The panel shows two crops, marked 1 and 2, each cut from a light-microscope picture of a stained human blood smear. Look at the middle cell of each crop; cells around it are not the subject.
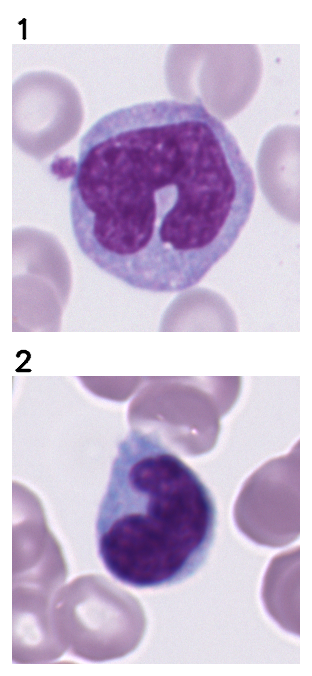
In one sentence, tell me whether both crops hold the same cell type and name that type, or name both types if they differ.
Yes, as for both crops, the cells shown are monocytes.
